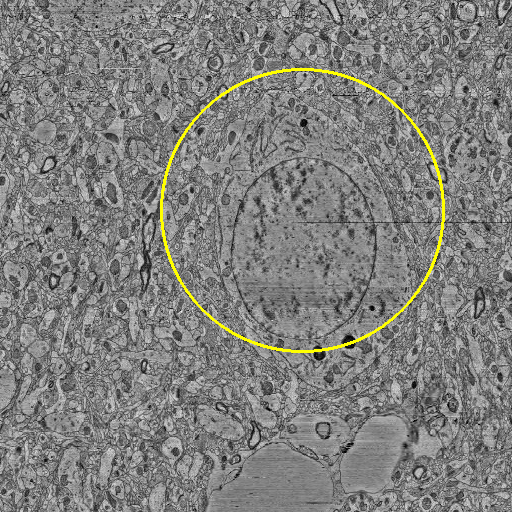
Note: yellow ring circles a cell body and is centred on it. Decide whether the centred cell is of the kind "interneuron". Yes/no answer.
No, the centred cell is of another kind.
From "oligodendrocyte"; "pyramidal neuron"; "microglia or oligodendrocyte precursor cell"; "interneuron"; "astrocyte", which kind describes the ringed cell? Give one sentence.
The cell at the middle of the ring is a pyramidal neuron.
